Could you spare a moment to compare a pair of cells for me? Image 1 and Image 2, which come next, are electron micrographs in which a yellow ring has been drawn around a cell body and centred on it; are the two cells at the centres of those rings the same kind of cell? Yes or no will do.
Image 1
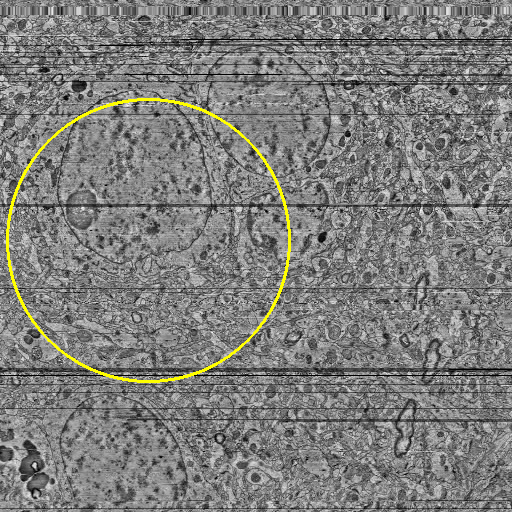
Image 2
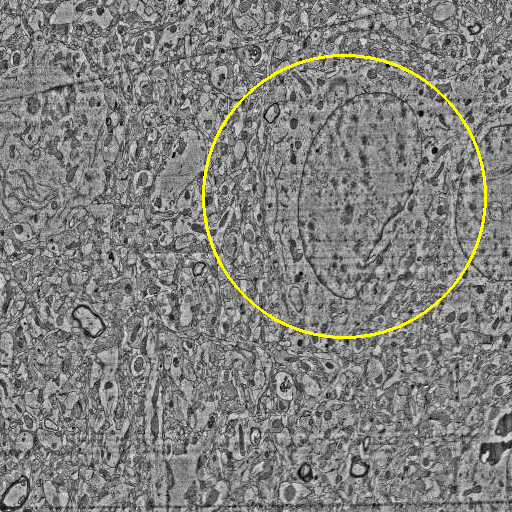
yes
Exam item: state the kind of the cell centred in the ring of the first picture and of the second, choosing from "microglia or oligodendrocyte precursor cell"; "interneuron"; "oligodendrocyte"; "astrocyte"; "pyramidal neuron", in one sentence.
Each cell at the centre of a ring is a pyramidal neuron.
